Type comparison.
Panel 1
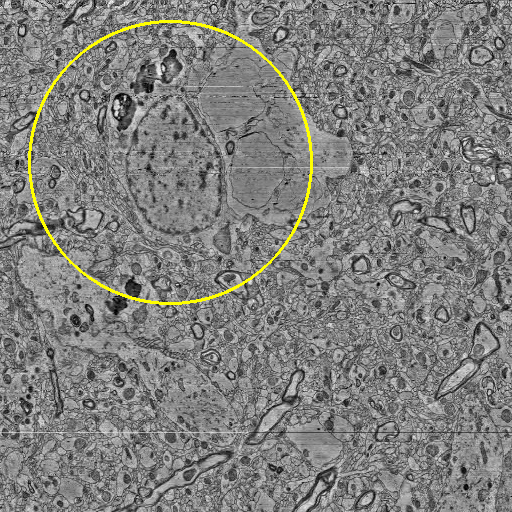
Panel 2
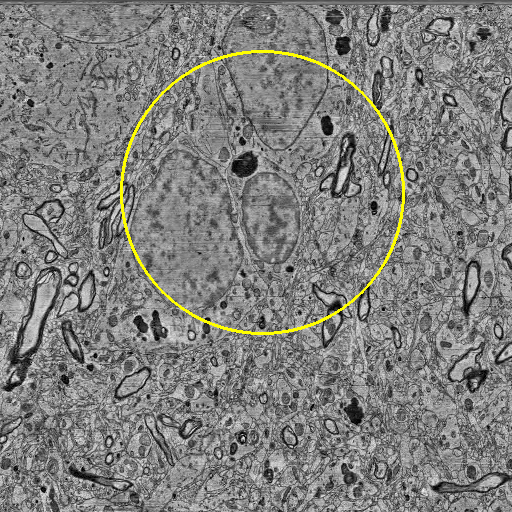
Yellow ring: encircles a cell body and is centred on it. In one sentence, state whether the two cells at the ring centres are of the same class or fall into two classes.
In these panels, the two cells at the ring centres fall into two classes.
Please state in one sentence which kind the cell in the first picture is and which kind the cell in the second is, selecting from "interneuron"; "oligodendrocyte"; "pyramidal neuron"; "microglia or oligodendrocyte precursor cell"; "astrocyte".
The first ringed cell is an astrocyte, the second ringed cell an oligodendrocyte.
